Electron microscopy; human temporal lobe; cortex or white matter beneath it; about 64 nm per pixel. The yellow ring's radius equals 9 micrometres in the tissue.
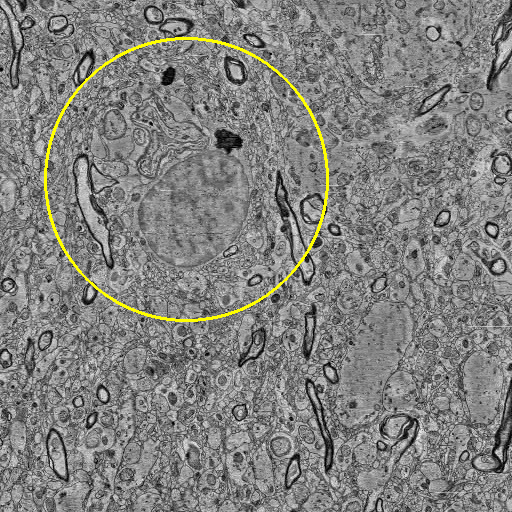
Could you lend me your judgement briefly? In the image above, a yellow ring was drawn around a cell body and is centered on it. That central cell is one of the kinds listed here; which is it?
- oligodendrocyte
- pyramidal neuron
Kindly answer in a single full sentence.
Going by the list, an oligodendrocyte is the kind at the ring's center in the picture.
